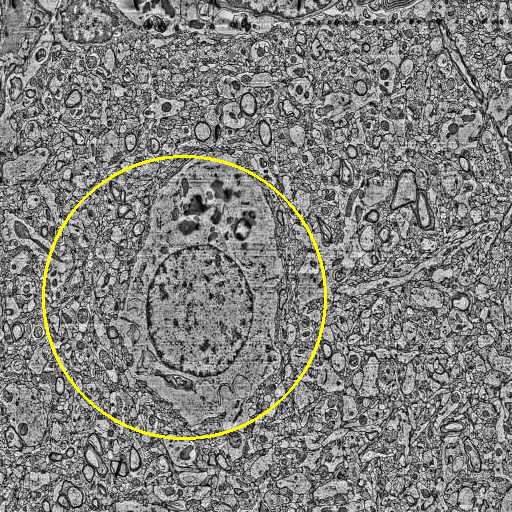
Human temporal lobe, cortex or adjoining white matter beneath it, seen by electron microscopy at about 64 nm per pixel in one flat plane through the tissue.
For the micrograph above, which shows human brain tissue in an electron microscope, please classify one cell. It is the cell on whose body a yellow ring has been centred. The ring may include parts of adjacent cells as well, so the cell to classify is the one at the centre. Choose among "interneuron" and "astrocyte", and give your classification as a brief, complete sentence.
I classify this cell as an astrocyte.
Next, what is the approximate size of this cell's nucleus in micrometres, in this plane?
Approximately 8 x 7 micrometres in this plane.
